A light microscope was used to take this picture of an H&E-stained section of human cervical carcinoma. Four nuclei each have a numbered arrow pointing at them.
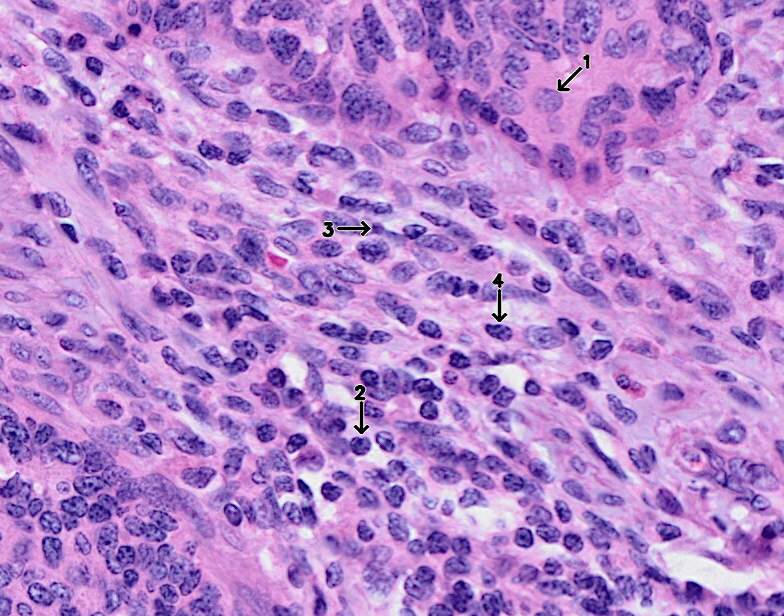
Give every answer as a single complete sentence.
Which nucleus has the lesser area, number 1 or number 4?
Nucleus 4 covers less area, with nucleus 1 about 1.5 times as large.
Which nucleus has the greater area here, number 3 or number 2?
Nucleus 2 is the larger one, covering about 2.5 times the area of nucleus 3.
